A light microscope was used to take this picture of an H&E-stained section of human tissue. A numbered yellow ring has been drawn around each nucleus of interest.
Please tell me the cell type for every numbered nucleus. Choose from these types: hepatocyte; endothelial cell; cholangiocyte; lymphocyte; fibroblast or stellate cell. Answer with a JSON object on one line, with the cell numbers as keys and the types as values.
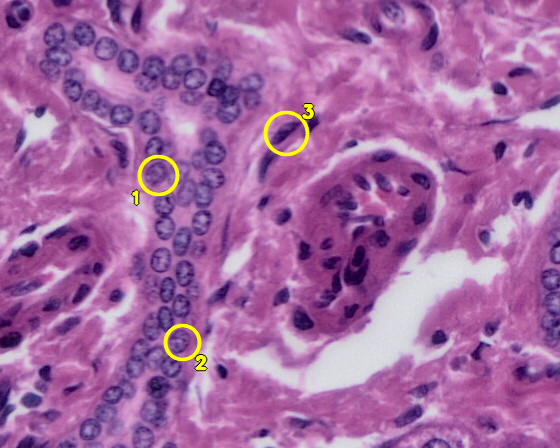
{"1": "cholangiocyte", "2": "cholangiocyte", "3": "fibroblast or stellate cell"}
